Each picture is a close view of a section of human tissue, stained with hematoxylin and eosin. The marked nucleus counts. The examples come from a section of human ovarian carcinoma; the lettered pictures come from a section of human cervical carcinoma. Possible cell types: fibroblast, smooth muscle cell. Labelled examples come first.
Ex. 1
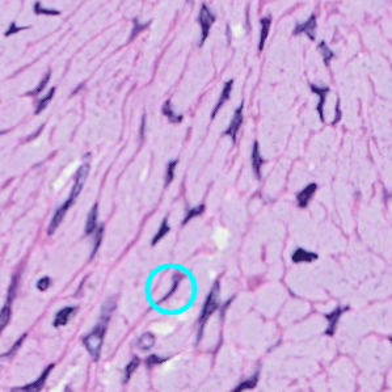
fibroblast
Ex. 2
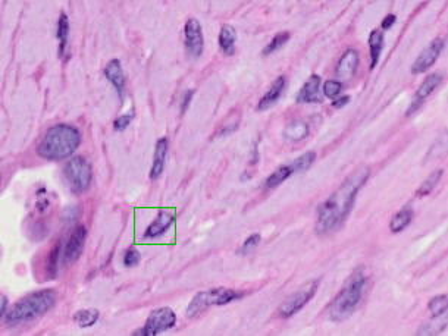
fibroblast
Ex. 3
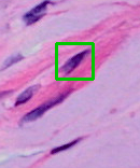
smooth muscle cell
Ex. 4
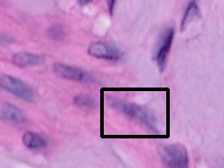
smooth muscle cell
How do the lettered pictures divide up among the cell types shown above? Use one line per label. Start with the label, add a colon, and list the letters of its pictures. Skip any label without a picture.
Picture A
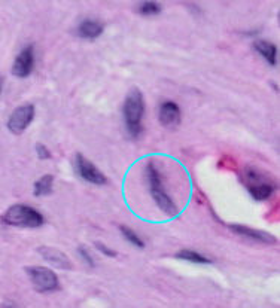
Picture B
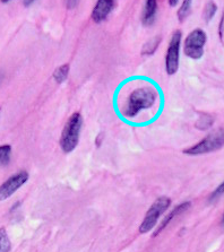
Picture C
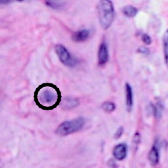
fibroblast: A, B
smooth muscle cell: C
